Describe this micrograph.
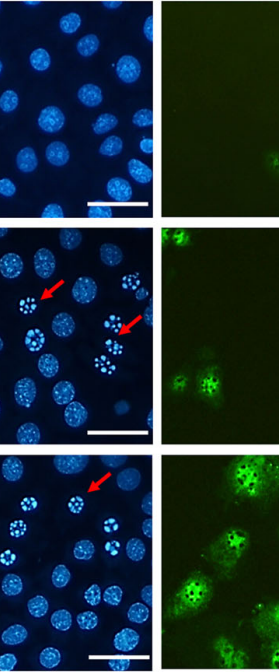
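The top field is almost entirely dark, with only a faint speck of green. In the middle field a scattering of cells shows diffuse green filling the cytoplasm, and within several of them the nuclear area holds multiple small dark round holes, matching broken-up nuclei. The lowest field shows more green cells, brighter and more widespread, some spread out with irregular outlines and others small and rounded, again with dark round holes where nuclear fragments lie.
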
